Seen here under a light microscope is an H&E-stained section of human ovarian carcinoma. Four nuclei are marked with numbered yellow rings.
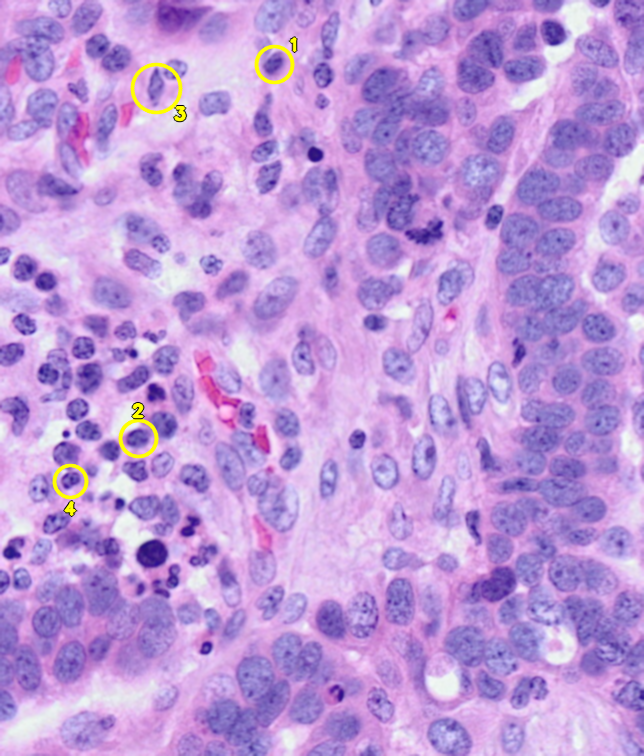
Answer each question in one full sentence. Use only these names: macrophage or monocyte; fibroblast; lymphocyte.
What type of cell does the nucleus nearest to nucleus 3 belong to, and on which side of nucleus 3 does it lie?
The nearest one is a lymphocyte, found above and to the right of nucleus 3.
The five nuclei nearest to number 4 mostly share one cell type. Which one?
Around number 4, most of the five nearest nuclei are those of macrophages or monocytes.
